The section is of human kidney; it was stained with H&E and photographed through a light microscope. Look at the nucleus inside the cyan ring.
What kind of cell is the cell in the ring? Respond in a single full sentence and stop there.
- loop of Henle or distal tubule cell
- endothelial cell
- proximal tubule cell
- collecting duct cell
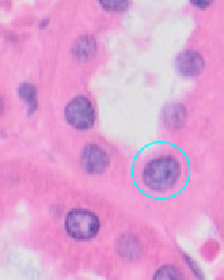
In the tissue at hand, the cell in the ring is a loop of Henle or distal tubule cell.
